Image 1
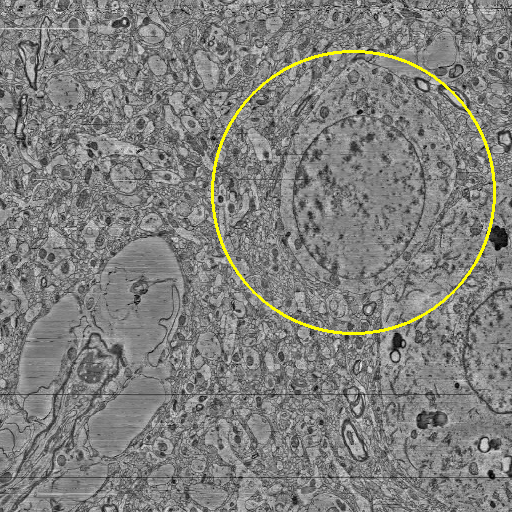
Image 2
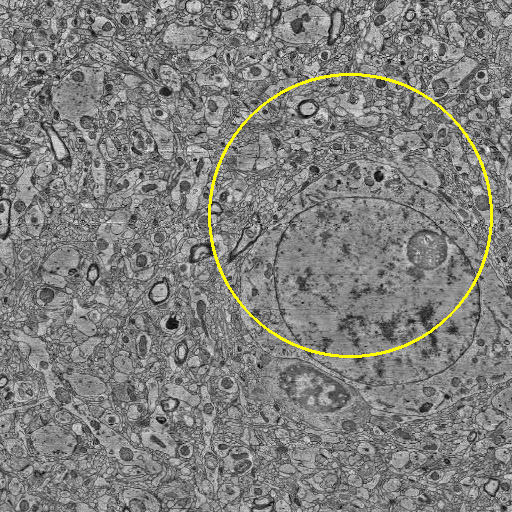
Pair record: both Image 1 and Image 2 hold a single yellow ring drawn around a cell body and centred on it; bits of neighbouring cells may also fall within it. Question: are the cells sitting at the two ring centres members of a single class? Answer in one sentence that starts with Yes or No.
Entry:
Yes, both ring-centre cells in Image 1 and Image 2 are members of one class.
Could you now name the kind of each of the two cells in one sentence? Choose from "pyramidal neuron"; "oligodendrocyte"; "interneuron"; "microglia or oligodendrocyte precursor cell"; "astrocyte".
The cell in the first picture is a pyramidal neuron, and so is the one in the second.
